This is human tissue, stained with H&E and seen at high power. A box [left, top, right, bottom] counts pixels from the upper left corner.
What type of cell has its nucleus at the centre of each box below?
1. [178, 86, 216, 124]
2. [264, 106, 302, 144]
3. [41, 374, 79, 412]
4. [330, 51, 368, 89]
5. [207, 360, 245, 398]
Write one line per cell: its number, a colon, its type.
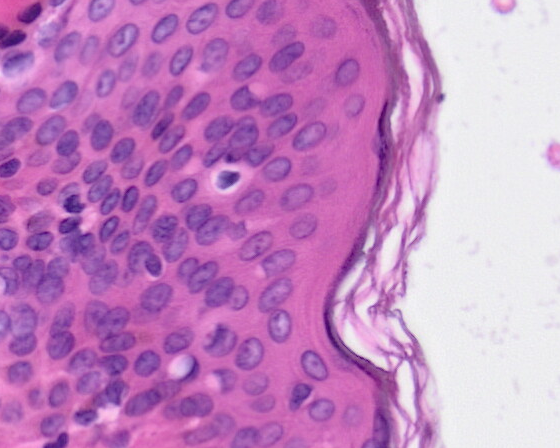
1: basal keratinocyte
2: suprabasal keratinocyte
3: basal keratinocyte
4: suprabasal keratinocyte
5: suprabasal keratinocyte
